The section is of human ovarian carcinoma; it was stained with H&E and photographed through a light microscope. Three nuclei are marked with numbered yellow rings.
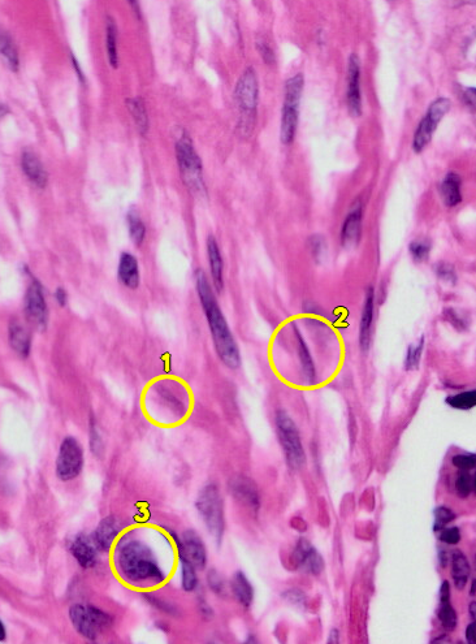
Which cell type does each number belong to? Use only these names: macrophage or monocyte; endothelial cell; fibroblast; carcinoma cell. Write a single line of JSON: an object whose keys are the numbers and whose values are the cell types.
{"1": "fibroblast", "2": "fibroblast", "3": "carcinoma cell"}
